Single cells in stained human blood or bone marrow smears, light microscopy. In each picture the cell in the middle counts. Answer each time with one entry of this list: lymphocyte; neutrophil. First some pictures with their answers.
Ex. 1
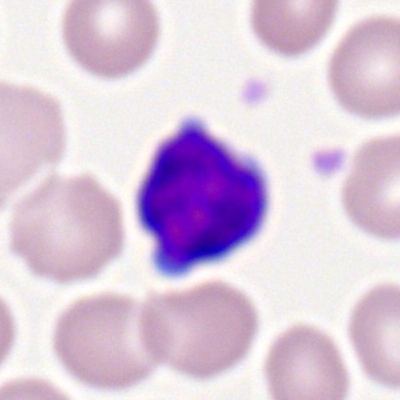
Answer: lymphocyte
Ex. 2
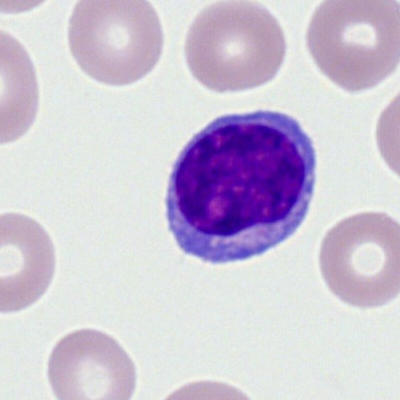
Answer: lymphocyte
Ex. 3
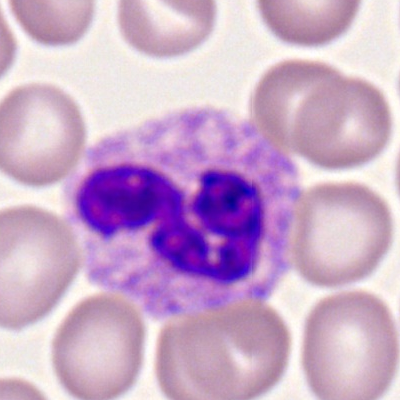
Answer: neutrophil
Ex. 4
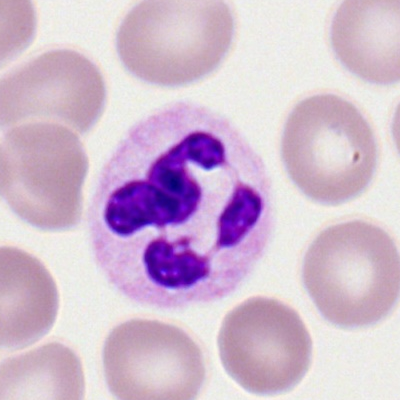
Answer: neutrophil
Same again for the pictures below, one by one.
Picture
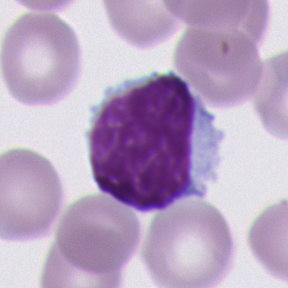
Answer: lymphocyte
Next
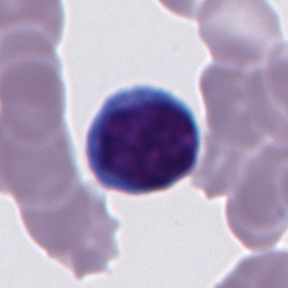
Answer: lymphocyte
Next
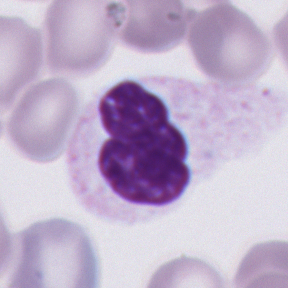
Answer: neutrophil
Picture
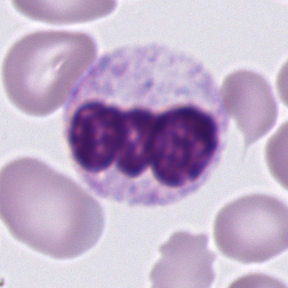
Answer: neutrophil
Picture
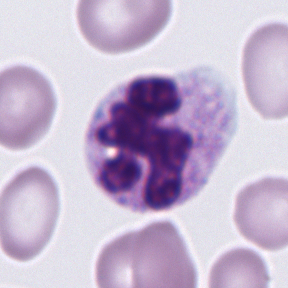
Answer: neutrophil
